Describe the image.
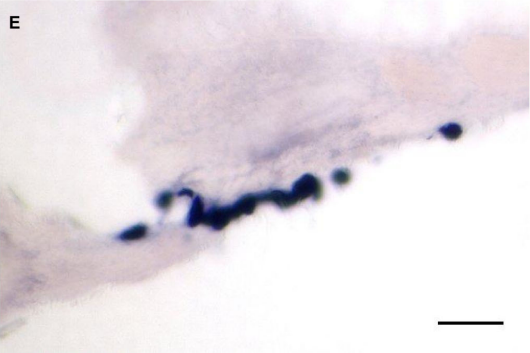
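This is a section through a cluster of labeled cells, which appear as dark blue-black rounded bodies against pale, faintly purple tissue. The cells lie in a row along the edge of the tissue, packed closely together in the middle of the row. Toward the ends of the row, single cells are spaced more loosely. Each labeled cell is compact and densely stained, so no internal detail can be made out.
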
